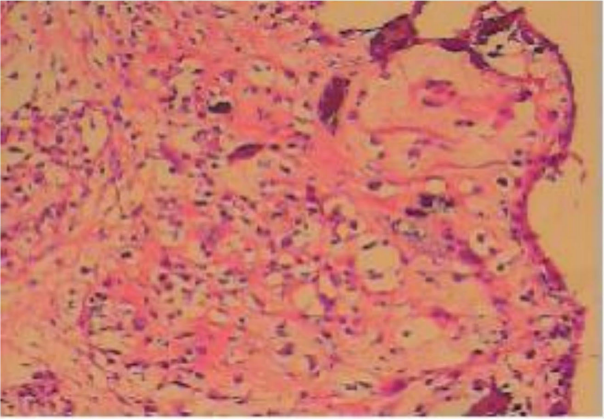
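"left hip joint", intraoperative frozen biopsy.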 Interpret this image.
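The stroma is pale pink and fibrillar, and it contains numerous purple-staining nuclei, some spindle-shaped and some small and round. A thin lining layer of cells runs along the right-hand surface of the tissue. A few darker purple, irregular deposits lie near the upper edge.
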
